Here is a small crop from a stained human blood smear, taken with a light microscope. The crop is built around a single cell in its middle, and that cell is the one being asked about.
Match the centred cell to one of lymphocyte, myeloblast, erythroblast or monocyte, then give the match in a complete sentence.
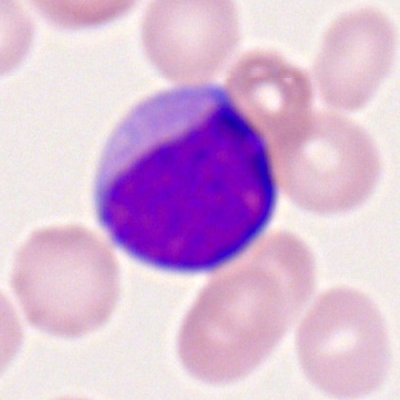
The cell positioned in the middle of the field is a myeloblast.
